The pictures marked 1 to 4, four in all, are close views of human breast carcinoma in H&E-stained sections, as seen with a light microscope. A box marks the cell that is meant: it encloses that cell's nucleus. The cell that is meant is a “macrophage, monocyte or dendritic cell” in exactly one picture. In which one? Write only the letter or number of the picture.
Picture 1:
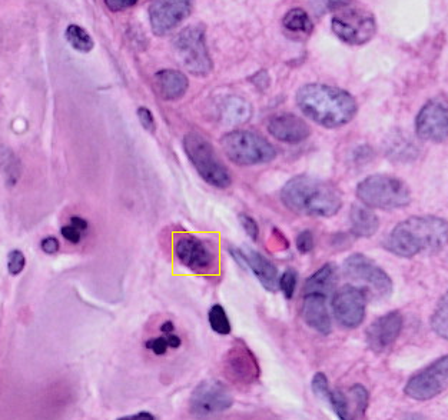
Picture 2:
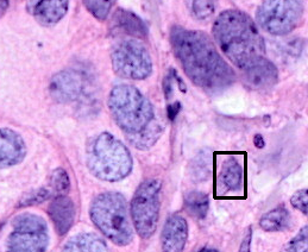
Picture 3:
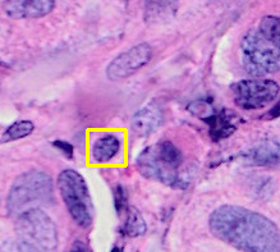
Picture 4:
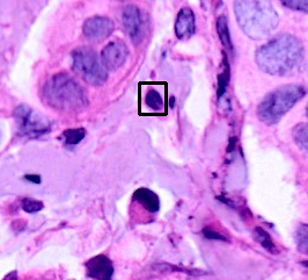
2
